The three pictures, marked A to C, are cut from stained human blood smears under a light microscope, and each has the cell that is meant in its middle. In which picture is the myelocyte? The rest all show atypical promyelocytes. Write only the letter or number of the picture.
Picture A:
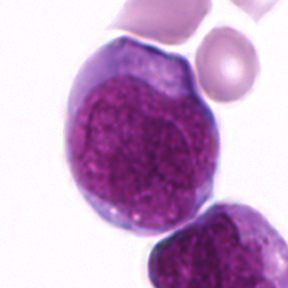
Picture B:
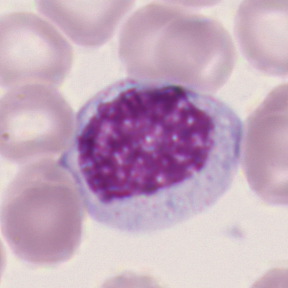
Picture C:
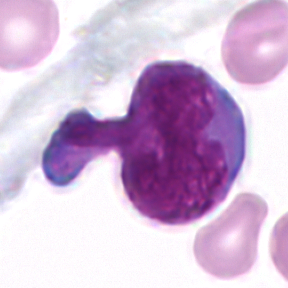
B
